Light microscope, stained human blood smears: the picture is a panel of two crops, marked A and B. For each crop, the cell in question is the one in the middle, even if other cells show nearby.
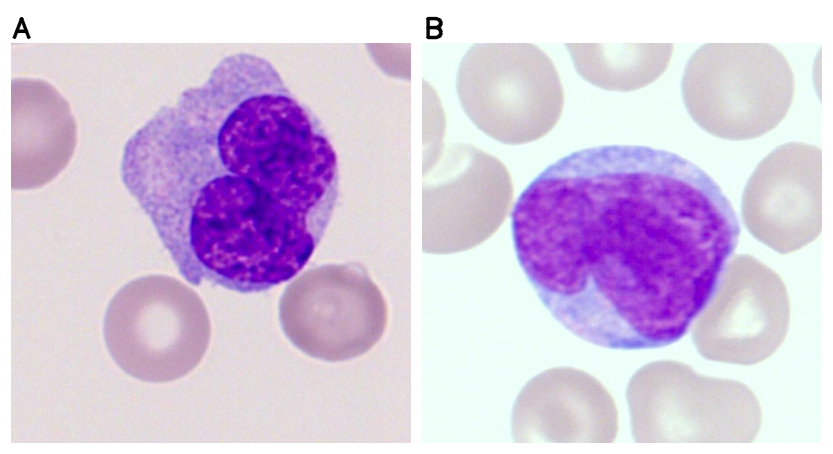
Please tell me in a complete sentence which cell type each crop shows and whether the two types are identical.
No, crop A shows a monocyte, and crop B, by contrast, shows a blast.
